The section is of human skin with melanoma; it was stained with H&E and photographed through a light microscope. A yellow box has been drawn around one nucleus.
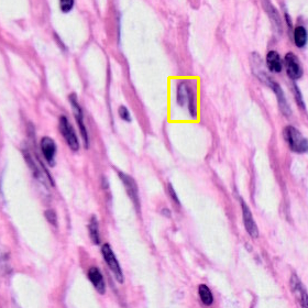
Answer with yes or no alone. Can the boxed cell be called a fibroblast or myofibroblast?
yes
